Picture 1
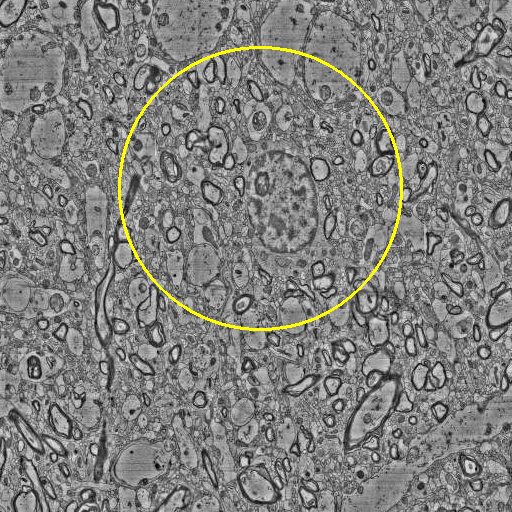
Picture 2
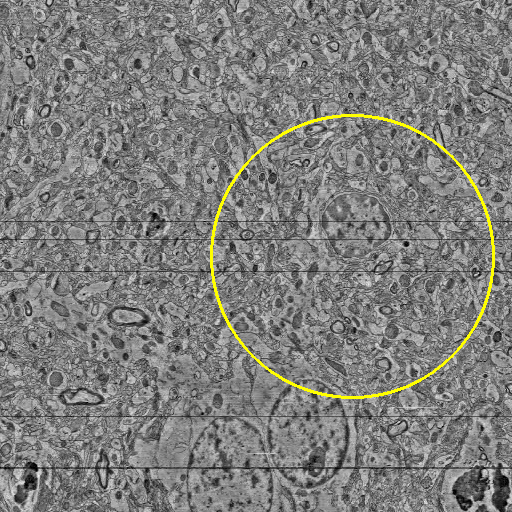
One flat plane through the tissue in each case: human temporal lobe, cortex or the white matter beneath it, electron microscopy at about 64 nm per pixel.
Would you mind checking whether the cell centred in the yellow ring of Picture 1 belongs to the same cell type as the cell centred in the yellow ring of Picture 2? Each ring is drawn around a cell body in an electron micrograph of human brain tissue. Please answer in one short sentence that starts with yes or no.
No, the two cells are of two types.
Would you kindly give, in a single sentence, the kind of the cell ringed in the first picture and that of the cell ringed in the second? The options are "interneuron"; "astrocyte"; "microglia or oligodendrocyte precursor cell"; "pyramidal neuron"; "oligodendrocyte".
The second cell is a microglial cell or oligodendrocyte precursor cell, and the first cell is an oligodendrocyte.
